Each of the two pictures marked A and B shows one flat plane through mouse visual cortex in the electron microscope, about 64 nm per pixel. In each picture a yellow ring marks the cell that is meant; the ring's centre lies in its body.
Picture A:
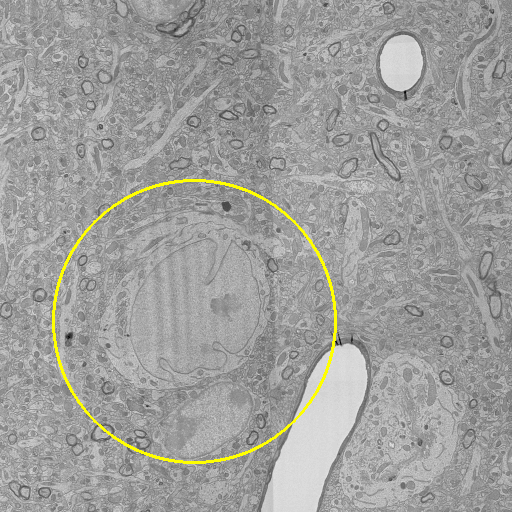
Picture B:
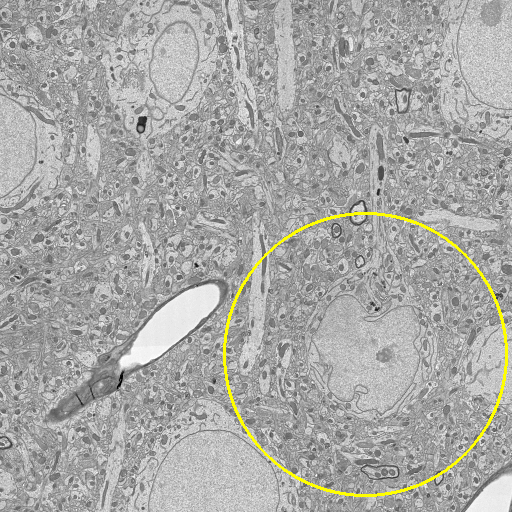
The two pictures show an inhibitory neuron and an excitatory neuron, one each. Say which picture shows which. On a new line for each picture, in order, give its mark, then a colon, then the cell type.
A: excitatory neuron
B: inhibitory neuron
